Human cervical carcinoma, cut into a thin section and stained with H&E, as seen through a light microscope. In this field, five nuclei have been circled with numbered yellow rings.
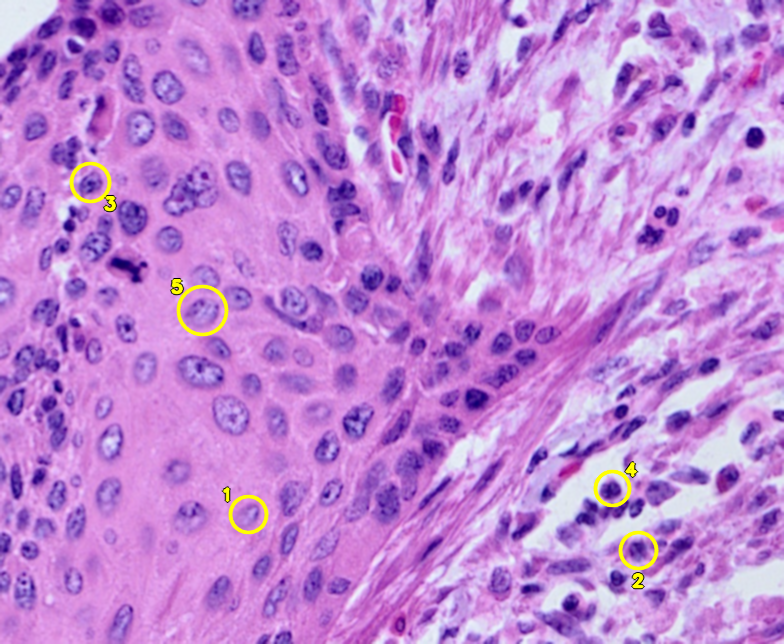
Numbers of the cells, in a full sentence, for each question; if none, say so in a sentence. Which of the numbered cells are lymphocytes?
As for the cells numbered 2 and 4, they are lymphocytes.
